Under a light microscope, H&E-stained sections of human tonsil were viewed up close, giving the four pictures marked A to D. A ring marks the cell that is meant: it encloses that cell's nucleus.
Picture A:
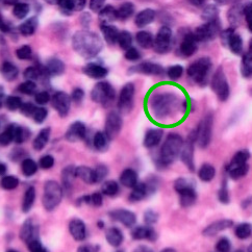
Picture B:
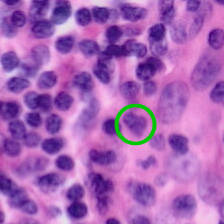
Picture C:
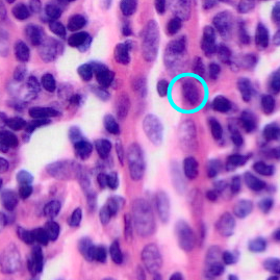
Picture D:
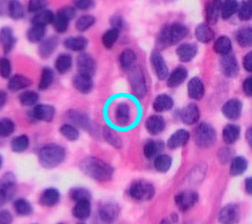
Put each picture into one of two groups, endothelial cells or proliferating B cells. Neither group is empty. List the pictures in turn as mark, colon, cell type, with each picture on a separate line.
A: proliferating B cell
B: endothelial cell
C: endothelial cell
D: endothelial cell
